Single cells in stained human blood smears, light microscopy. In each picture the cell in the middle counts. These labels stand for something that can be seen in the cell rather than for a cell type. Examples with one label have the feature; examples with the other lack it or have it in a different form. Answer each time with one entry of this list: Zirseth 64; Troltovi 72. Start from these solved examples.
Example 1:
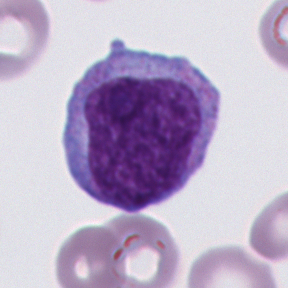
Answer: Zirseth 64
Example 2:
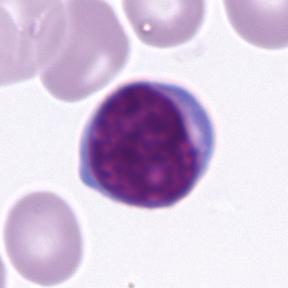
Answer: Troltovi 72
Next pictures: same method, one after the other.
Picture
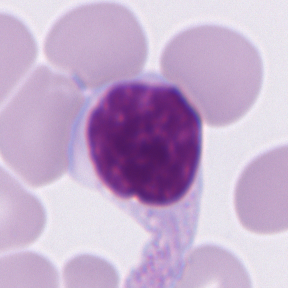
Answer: Zirseth 64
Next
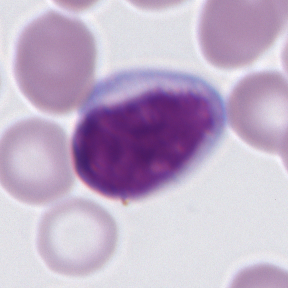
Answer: Troltovi 72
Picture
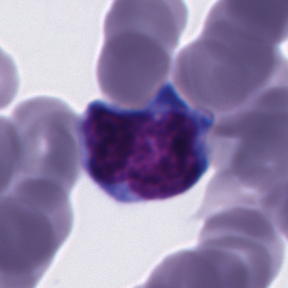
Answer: Zirseth 64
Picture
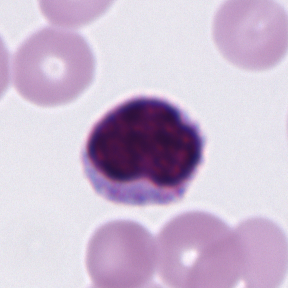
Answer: Troltovi 72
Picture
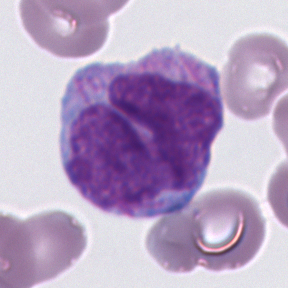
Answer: Zirseth 64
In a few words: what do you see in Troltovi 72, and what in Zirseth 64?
Seen in Troltovi 72: smooth outline; seen in Zirseth 64: ragged outline or projections.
